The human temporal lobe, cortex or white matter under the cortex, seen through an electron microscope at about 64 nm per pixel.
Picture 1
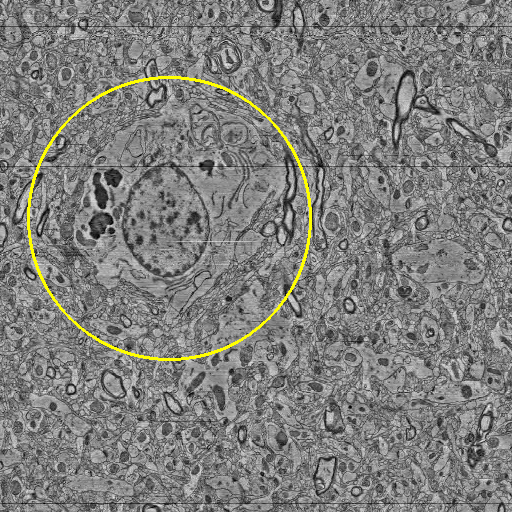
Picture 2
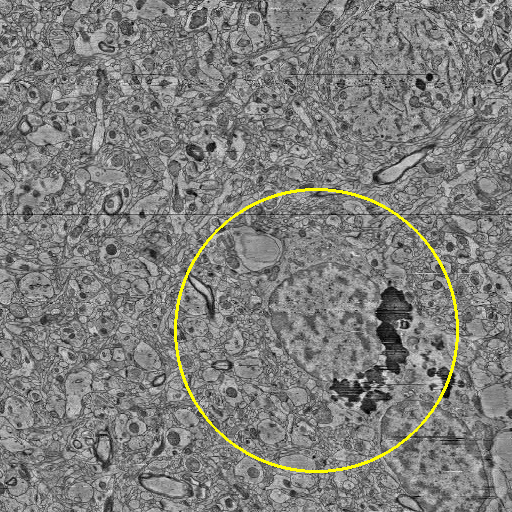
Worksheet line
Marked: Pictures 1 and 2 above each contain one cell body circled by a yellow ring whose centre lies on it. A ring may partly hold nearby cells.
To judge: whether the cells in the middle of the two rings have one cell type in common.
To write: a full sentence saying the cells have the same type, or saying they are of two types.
The cells in the middle of the rings in Picture 1 and Picture 2 are of two types.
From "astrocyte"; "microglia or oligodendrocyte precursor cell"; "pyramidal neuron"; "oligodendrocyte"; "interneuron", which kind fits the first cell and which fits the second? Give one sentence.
The cell marked in the first picture is an astrocyte, and the one marked in the second is an oligodendrocyte.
